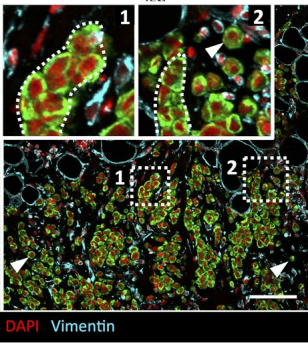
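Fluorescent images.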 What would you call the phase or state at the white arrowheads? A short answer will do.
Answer: Individual cells.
